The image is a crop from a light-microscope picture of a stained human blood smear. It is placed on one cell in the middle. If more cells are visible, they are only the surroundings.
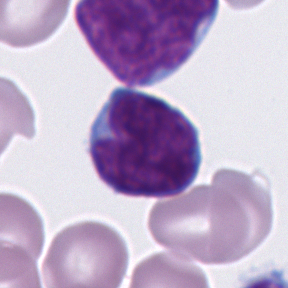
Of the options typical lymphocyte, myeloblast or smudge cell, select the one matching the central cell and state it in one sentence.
The cell the crop is centered on is a myeloblast.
